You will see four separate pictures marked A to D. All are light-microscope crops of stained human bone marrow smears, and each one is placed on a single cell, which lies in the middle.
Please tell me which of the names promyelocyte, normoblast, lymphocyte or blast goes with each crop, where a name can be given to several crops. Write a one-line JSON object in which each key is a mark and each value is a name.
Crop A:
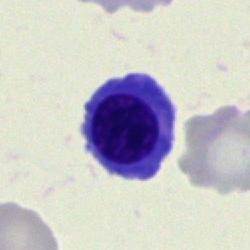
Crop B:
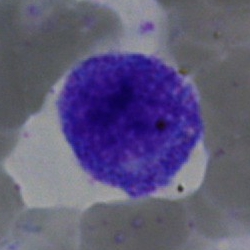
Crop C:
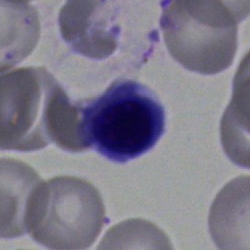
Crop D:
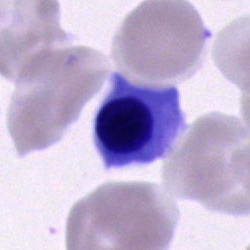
{"A": "normoblast", "B": "promyelocyte", "C": "normoblast", "D": "normoblast"}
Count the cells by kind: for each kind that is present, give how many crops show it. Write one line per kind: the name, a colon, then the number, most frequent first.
normoblast: 3
promyelocyte: 1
